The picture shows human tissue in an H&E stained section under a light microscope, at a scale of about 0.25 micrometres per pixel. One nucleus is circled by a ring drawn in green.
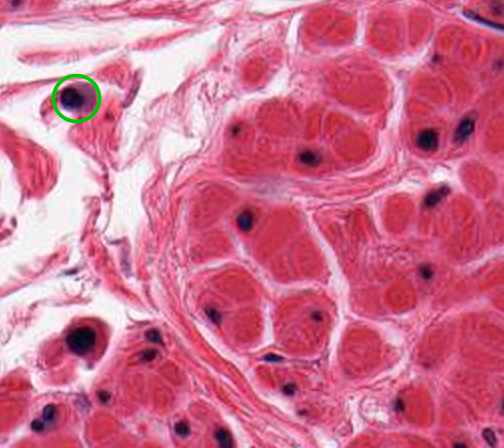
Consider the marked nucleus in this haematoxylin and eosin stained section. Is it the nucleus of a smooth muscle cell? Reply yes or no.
no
